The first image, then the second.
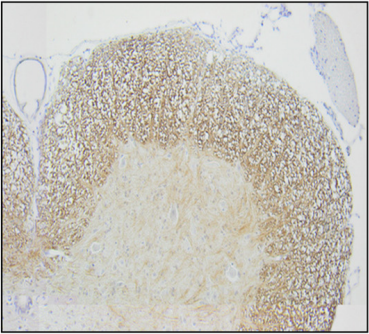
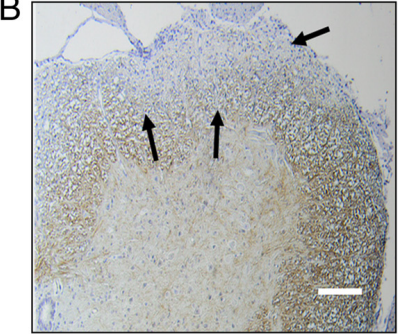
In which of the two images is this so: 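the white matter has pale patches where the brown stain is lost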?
The second image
